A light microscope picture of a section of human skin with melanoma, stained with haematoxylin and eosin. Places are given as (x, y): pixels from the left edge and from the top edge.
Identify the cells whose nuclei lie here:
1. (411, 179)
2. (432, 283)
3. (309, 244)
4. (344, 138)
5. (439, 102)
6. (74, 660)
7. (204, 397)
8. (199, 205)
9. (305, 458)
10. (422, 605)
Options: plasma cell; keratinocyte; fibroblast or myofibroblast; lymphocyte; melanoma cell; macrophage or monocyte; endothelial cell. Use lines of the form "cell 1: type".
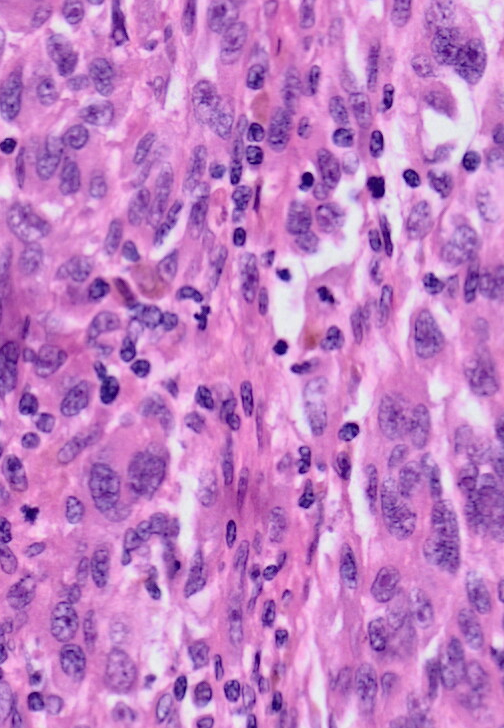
cell 1: lymphocyte
cell 2: lymphocyte
cell 3: melanoma cell
cell 4: lymphocyte
cell 5: melanoma cell
cell 6: melanoma cell
cell 7: lymphocyte
cell 8: melanoma cell
cell 9: lymphocyte
cell 10: melanoma cell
